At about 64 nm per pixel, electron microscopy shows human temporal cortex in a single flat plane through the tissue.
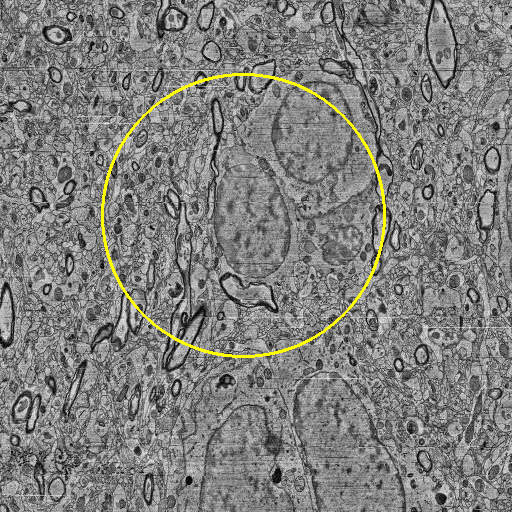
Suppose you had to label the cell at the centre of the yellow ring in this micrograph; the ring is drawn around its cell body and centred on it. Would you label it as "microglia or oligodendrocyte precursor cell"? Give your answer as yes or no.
No, I would label it as another kind.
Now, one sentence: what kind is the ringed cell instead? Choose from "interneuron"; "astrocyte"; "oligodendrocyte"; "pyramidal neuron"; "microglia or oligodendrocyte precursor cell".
What the ring encloses here is an oligodendrocyte.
